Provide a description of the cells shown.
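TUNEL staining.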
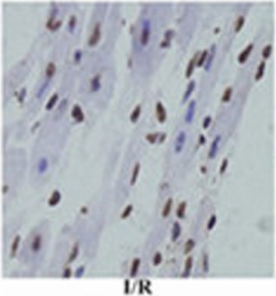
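Longitudinally cut heart muscle with cardiomyocytes arranged as parallel, elongated fibres. Most nuclei are oval to elongated and stained brown, a few stay blue. The cytoplasm is pale bluish-grey and the fibres appear loosened, with pale spaces between them.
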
